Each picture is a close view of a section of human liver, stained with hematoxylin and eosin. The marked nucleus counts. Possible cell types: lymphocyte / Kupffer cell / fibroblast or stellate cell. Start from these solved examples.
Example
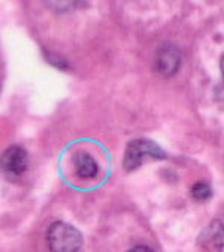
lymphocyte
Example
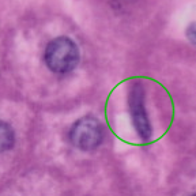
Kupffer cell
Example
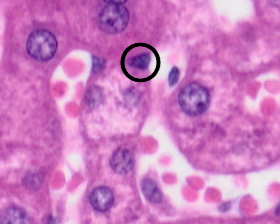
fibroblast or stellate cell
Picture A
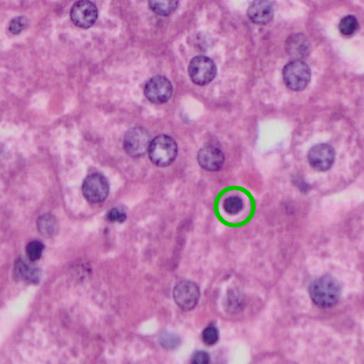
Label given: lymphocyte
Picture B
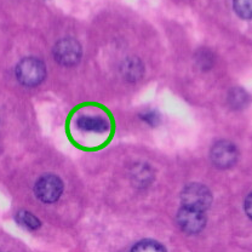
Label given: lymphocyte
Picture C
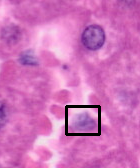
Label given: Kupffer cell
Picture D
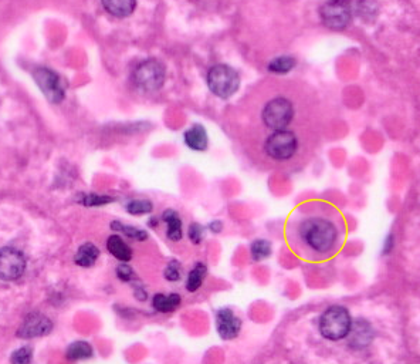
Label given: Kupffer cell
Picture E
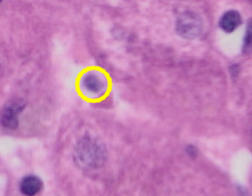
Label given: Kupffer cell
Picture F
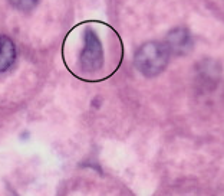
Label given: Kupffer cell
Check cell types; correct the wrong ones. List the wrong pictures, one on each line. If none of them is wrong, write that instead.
E: change Kupffer cell to lymphocyte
